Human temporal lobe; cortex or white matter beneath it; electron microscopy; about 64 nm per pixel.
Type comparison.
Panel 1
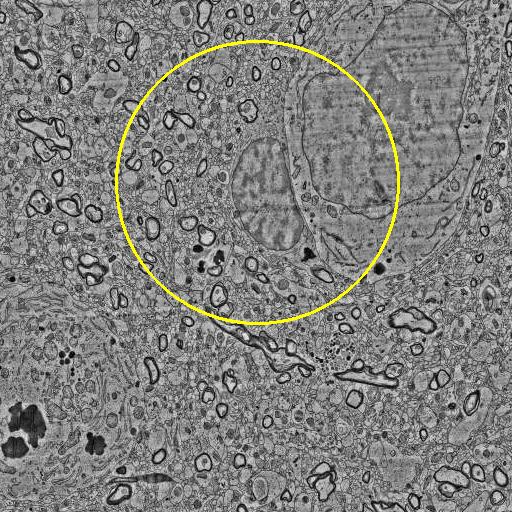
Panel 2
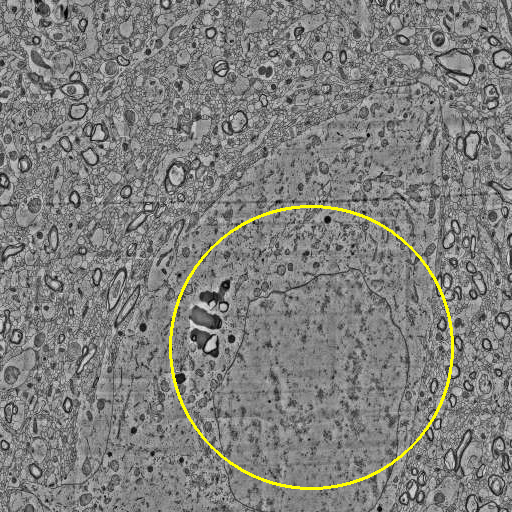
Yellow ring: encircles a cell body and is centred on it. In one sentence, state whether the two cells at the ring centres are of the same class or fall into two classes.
In these panels, the two cells at the ring centres fall into two classes.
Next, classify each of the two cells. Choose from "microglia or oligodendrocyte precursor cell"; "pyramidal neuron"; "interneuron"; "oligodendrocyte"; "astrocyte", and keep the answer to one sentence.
In the first picture it is an oligodendrocyte; in the second it is a pyramidal neuron.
